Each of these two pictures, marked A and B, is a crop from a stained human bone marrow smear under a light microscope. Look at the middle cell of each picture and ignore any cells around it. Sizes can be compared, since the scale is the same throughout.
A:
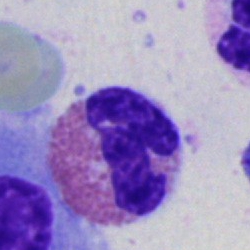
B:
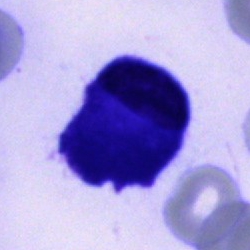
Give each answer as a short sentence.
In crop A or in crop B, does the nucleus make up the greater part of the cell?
In crop B the nucleus takes up the larger part of its cell.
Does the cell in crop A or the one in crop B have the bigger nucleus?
The nucleus in crop B is larger, with about 1.5 times the area of the one in crop A.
